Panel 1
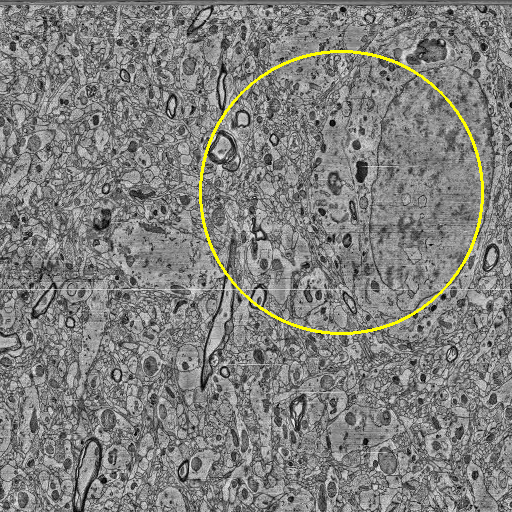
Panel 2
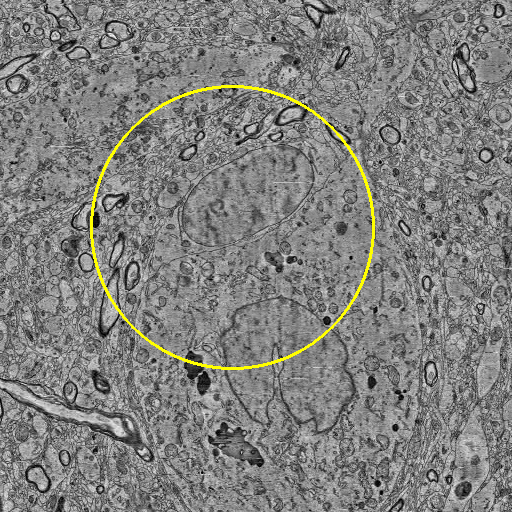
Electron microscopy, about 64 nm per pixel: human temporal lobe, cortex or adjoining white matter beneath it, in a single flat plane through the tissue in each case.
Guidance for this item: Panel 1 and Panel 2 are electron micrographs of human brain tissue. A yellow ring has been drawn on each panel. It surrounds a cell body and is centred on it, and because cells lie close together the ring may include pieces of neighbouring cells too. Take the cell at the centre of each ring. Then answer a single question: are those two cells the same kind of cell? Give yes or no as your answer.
yes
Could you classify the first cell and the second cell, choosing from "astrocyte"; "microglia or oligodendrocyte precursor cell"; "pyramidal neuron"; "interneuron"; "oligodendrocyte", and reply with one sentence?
Both rings mark a microglial cell or oligodendrocyte precursor cell, one in each picture.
